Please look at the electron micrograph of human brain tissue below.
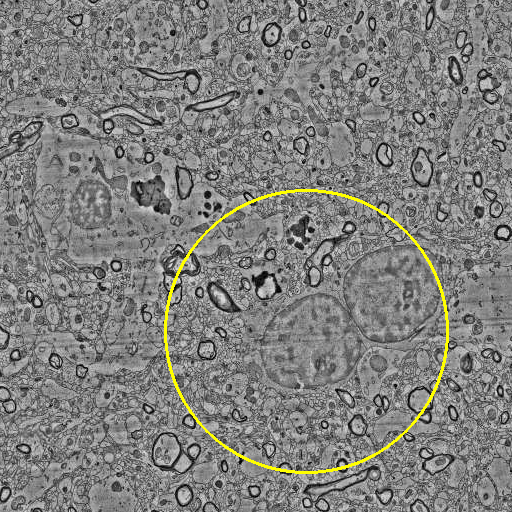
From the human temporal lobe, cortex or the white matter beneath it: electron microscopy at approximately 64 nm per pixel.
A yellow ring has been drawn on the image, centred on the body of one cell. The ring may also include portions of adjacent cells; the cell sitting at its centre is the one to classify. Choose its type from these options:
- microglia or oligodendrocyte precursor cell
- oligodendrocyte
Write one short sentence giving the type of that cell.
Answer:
The cell in the middle of the ring is an oligodendrocyte.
